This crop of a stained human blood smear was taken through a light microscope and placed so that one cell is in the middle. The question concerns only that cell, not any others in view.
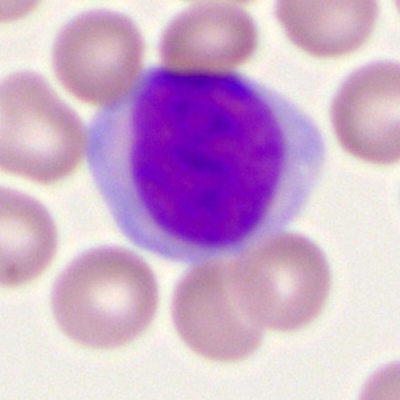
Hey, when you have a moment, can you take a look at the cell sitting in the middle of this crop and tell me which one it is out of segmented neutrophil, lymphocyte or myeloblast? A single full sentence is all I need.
In the middle of this smear crop, the cell is a myeloblast.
